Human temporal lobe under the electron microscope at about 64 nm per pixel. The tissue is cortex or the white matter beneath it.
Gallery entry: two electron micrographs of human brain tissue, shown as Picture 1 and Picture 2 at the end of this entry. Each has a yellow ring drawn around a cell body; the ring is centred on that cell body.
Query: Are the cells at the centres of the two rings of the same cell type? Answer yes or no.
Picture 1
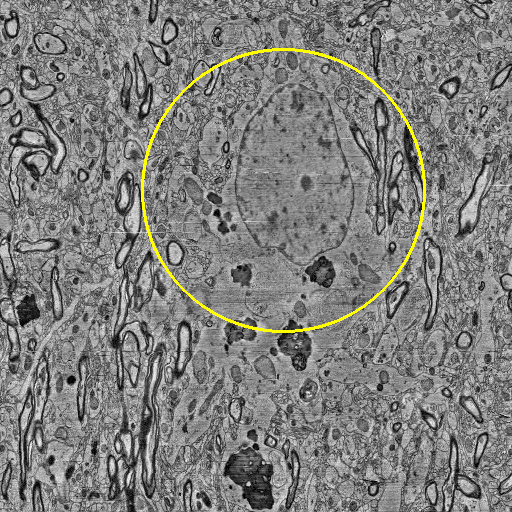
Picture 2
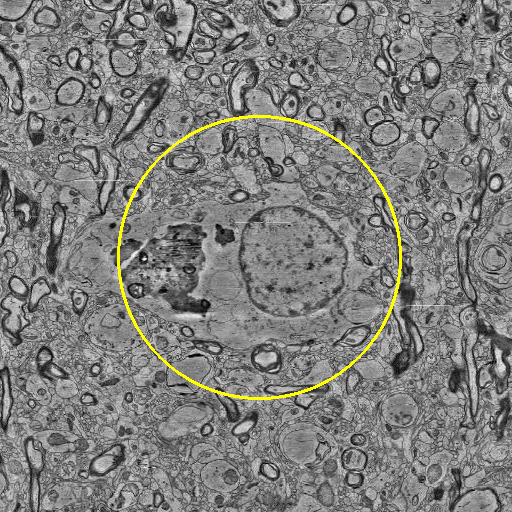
yes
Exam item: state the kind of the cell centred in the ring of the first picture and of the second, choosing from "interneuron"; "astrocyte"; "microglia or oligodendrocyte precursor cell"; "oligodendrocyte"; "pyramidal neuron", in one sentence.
In both pictures the ring is centred on an astrocyte.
